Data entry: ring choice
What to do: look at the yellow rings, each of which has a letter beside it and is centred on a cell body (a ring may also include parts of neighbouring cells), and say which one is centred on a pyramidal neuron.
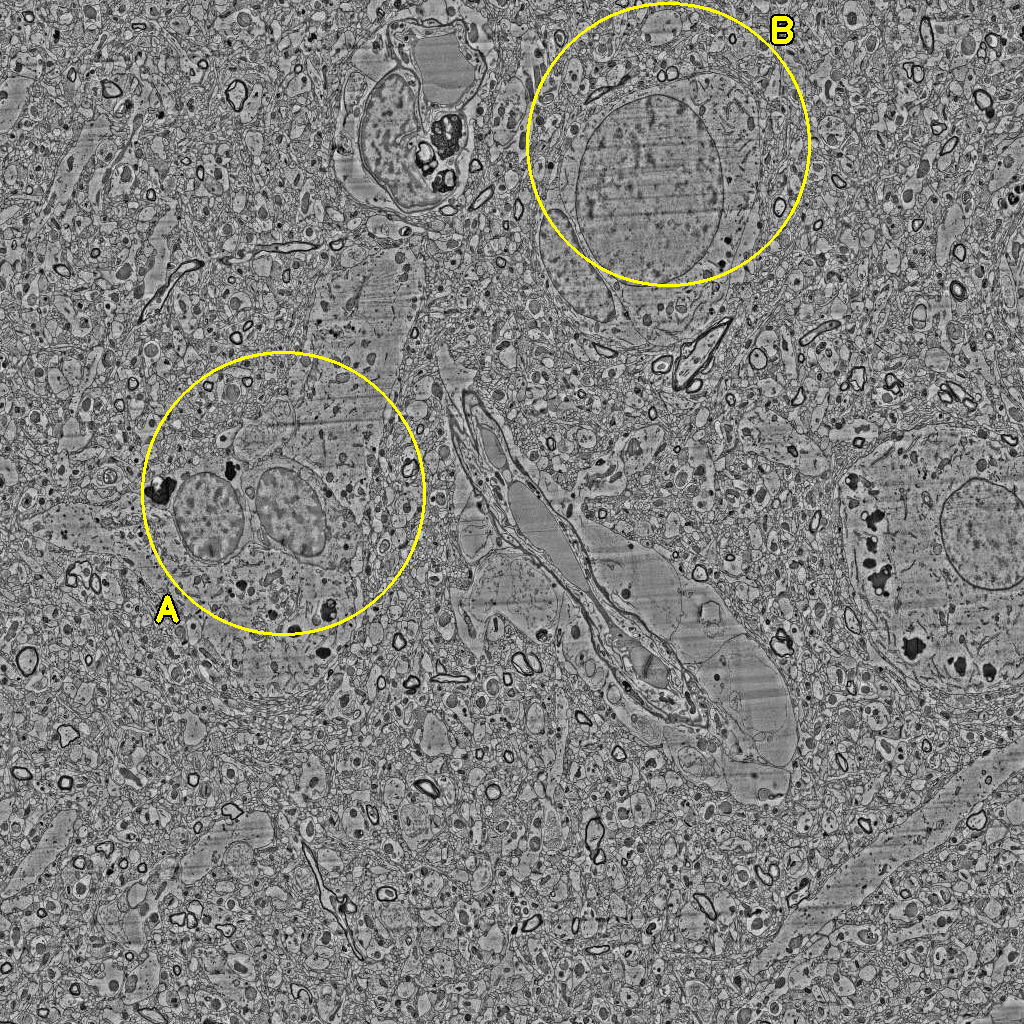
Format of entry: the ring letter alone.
B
